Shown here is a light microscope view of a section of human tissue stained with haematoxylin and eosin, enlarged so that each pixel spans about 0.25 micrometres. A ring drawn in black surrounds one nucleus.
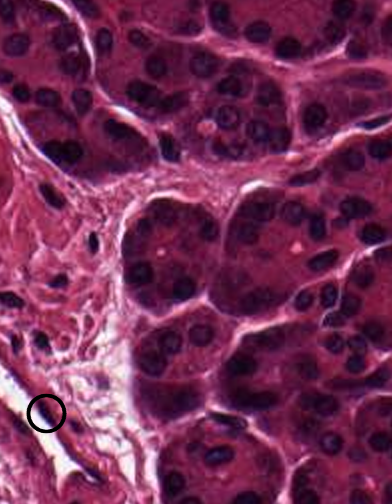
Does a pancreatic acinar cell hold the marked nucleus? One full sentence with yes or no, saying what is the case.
No, a supporting cell rather than a pancreatic acinar cell is the cell of the marked nucleus.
